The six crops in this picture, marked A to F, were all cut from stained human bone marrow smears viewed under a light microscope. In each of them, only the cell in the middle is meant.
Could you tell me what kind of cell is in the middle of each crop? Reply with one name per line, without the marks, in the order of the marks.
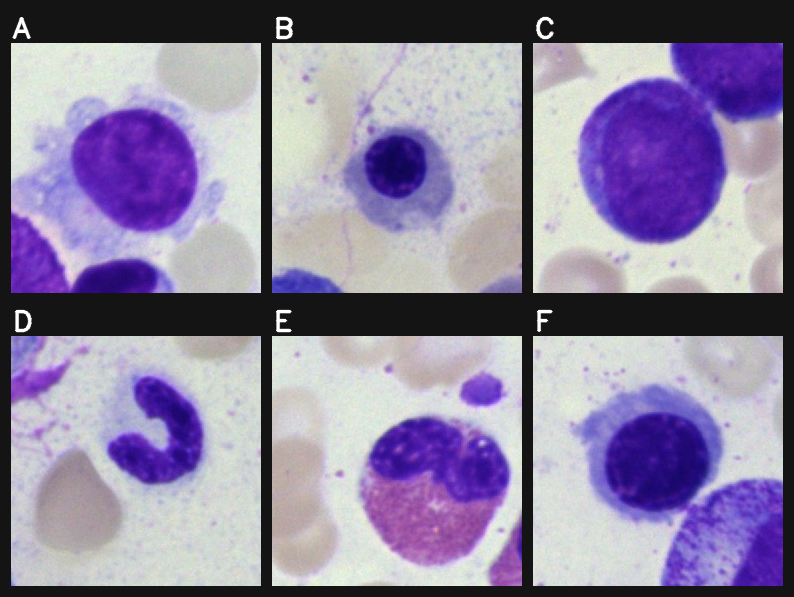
hairy cell
erythroblast
promyelocyte
band neutrophil
eosinophil
erythroblast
